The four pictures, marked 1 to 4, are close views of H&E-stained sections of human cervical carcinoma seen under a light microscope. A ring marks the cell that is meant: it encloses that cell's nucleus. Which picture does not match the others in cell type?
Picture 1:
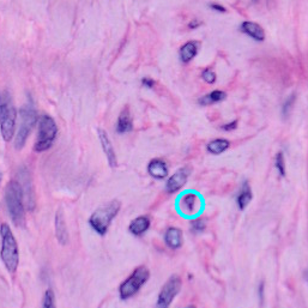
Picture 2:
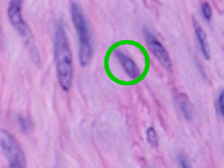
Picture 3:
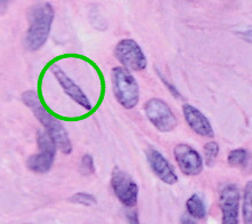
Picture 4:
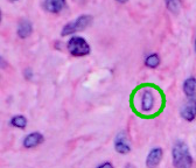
3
